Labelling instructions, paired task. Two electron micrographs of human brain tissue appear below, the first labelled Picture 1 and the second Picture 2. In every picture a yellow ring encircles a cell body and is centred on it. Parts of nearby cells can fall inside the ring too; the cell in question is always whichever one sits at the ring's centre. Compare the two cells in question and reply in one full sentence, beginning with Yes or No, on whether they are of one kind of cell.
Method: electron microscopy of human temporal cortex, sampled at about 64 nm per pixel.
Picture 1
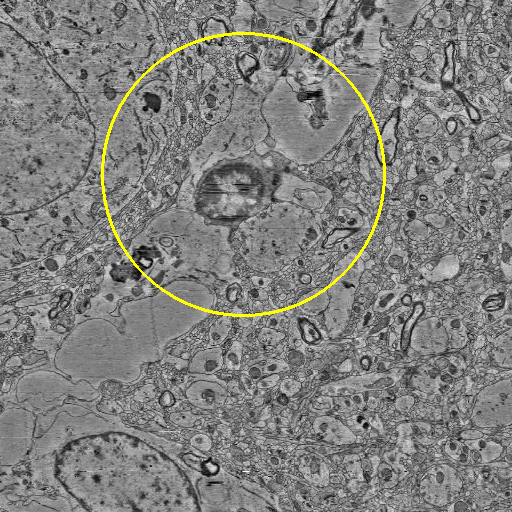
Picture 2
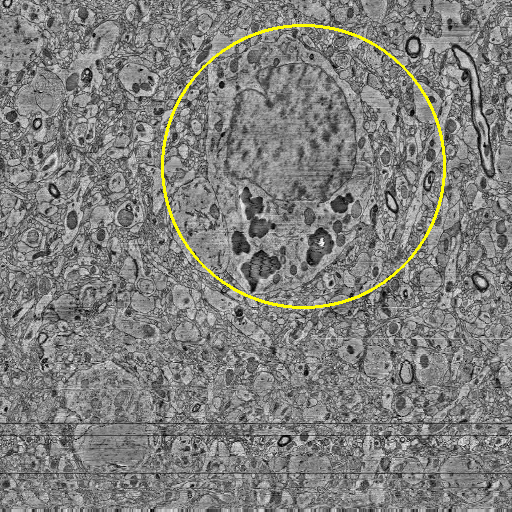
No, the two cells at the ring centres in Picture 1 and Picture 2 are of two kinds.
